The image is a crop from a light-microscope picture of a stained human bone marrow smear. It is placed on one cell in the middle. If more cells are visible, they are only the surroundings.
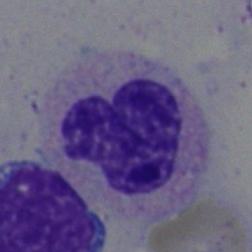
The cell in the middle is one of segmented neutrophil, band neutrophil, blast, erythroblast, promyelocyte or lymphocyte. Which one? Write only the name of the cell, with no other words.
band neutrophil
